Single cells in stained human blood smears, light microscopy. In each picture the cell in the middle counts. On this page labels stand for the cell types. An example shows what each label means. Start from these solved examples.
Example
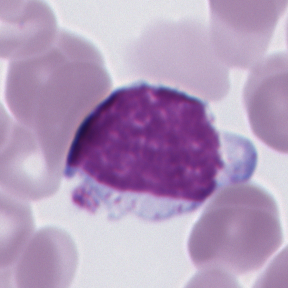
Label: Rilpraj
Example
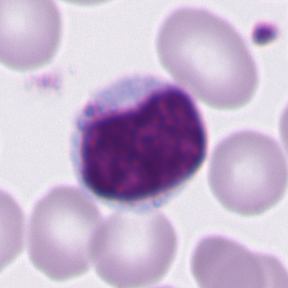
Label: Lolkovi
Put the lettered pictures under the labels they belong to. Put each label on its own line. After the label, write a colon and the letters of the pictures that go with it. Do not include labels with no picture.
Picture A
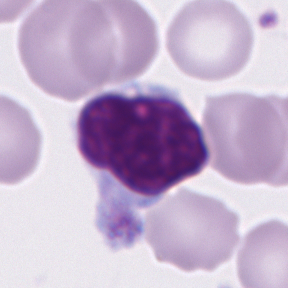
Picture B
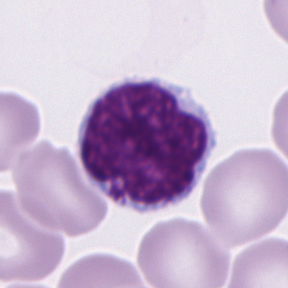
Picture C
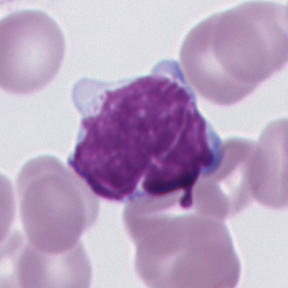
Rilpraj: C
Lolkovi: A, B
